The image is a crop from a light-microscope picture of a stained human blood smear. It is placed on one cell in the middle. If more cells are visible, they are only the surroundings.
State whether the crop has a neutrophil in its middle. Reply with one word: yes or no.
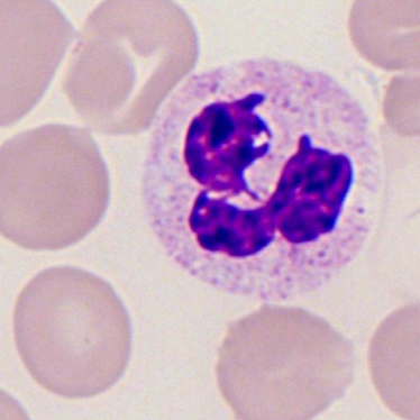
yes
